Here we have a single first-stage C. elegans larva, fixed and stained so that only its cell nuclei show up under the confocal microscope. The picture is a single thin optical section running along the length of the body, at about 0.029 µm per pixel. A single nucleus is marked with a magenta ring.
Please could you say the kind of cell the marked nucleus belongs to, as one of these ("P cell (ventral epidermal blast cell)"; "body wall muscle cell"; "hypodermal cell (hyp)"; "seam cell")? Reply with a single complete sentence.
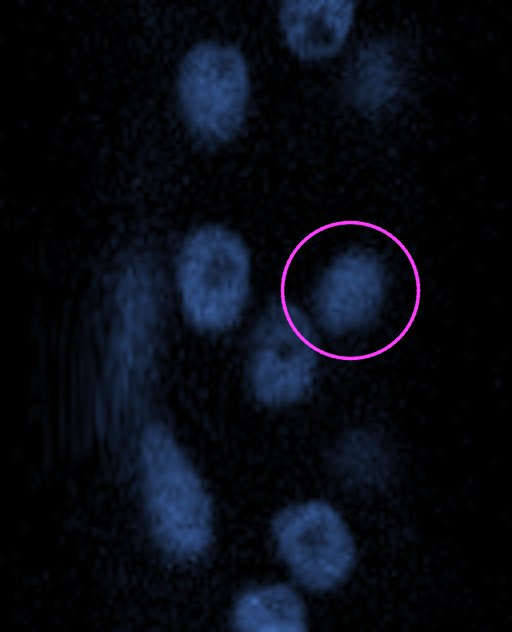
This is the nucleus of a body wall muscle cell.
